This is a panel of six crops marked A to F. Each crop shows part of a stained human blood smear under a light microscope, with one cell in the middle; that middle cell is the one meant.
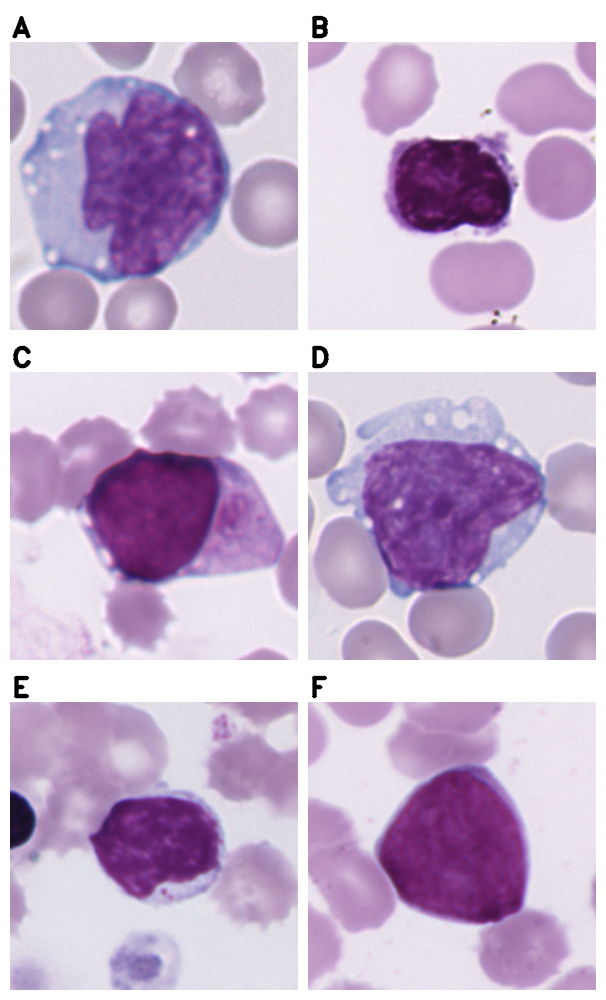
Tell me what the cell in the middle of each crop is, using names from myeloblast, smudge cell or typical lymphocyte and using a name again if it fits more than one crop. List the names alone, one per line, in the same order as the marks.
myeloblast
typical lymphocyte
myeloblast
myeloblast
typical lymphocyte
myeloblast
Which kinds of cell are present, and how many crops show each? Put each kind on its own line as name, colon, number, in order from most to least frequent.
myeloblast: 4
typical lymphocyte: 2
